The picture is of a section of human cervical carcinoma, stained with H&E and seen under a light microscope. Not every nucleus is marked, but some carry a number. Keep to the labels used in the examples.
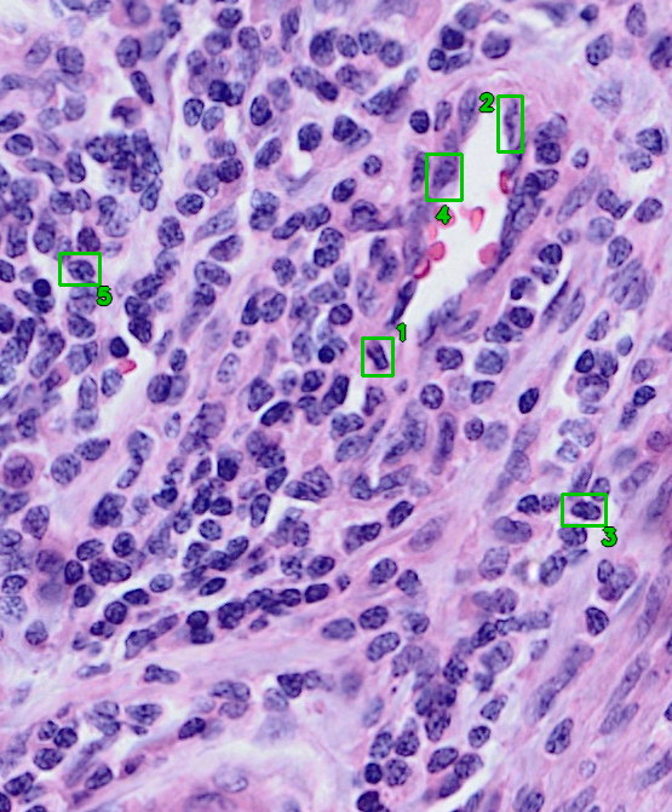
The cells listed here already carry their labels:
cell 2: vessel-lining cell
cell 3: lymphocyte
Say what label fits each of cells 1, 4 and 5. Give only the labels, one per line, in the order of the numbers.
lymphocyte
vessel-lining cell
lymphocyte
